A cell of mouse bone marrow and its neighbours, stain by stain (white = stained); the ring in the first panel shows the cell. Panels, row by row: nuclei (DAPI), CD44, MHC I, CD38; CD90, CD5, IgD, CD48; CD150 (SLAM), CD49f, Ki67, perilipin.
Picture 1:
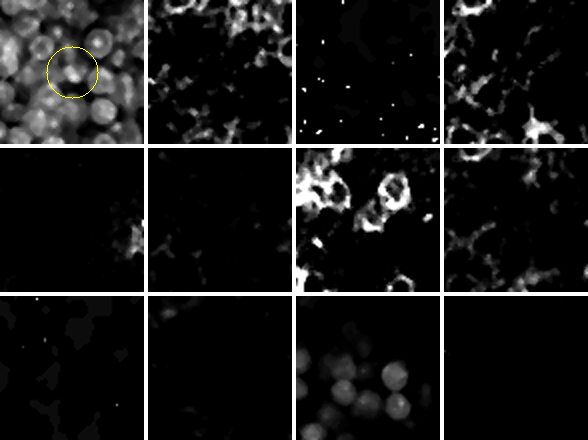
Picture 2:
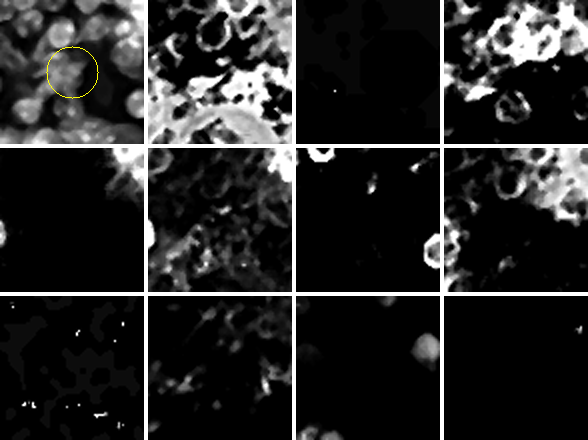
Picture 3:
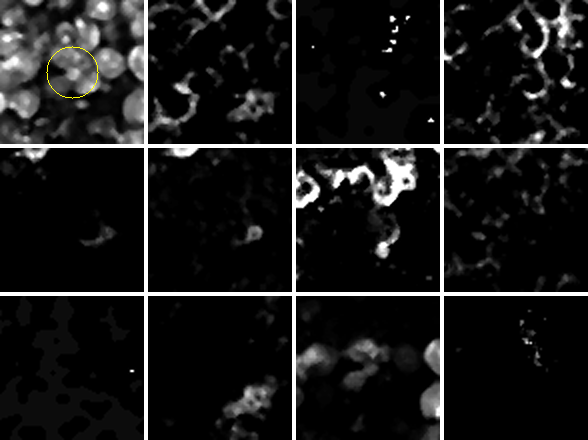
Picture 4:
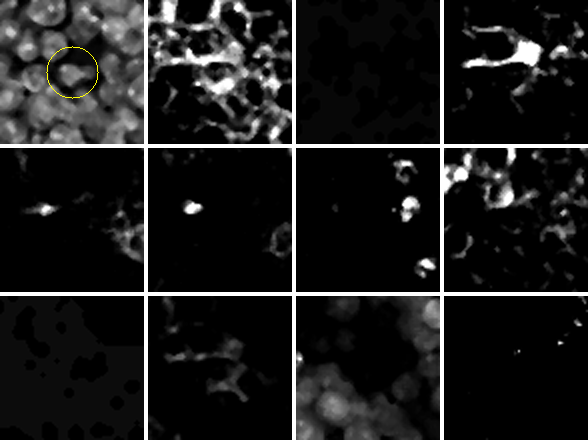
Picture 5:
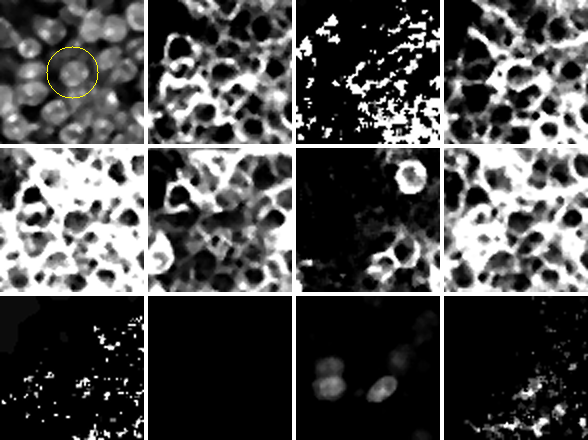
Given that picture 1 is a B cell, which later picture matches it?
5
